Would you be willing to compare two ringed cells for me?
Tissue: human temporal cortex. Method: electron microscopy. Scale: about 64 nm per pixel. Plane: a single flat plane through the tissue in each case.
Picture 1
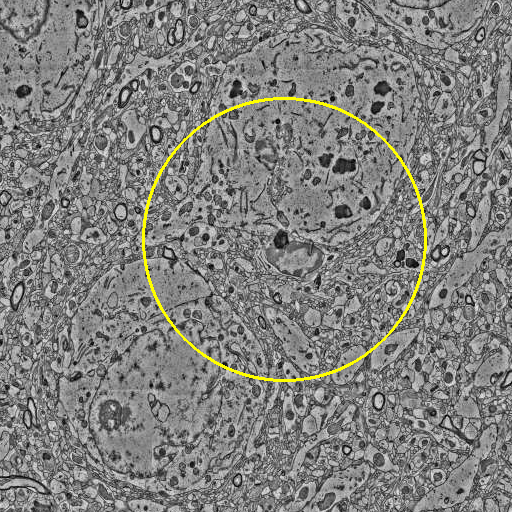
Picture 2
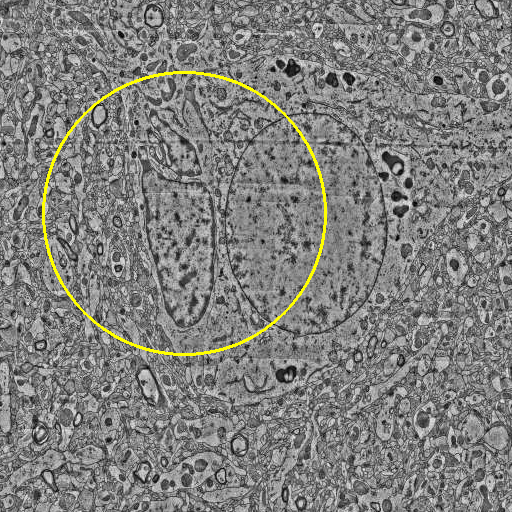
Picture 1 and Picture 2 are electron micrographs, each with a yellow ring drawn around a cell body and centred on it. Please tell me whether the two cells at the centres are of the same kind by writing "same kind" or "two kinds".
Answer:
same kind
